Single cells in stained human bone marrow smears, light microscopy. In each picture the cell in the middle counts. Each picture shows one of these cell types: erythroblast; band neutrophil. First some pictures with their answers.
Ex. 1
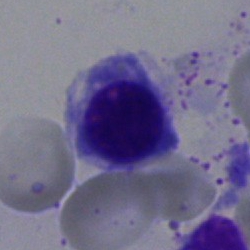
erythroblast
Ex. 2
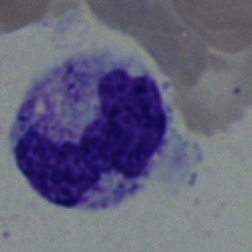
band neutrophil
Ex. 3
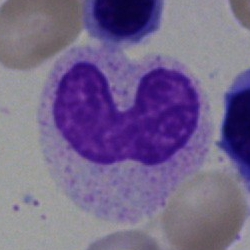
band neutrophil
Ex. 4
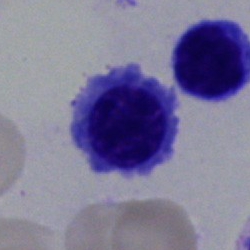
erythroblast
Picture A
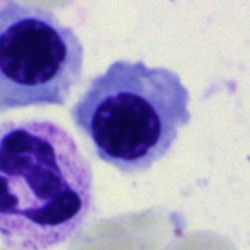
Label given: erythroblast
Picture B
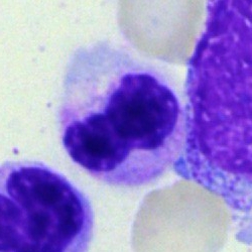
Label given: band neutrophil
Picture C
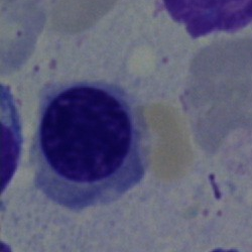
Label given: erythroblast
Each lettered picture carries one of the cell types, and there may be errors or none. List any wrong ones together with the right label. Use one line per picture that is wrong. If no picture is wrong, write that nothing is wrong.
All correct.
